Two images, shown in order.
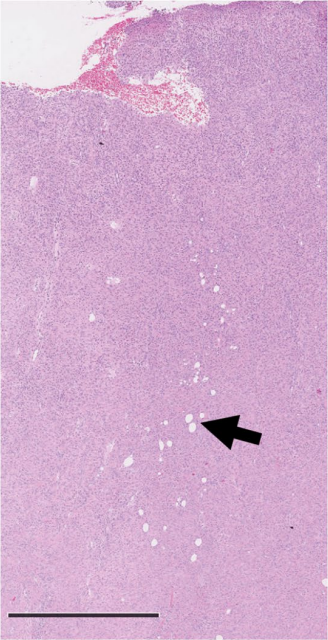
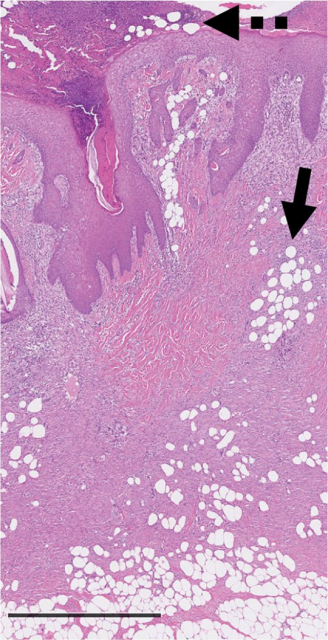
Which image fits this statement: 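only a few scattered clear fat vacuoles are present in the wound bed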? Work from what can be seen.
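First image: only a handful of small clear vacuoles are scattered in the dense tissue. Second image: numerous clusters of clear round vacuoles fill much of the section.
Hence: the first image.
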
